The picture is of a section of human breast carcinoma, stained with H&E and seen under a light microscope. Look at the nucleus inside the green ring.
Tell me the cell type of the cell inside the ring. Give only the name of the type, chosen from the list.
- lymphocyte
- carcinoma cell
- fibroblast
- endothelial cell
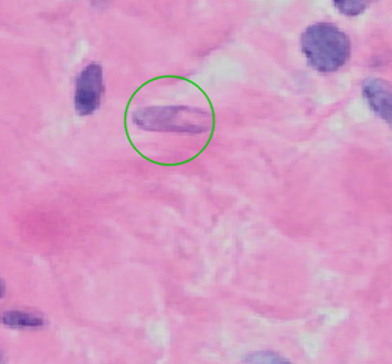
fibroblast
